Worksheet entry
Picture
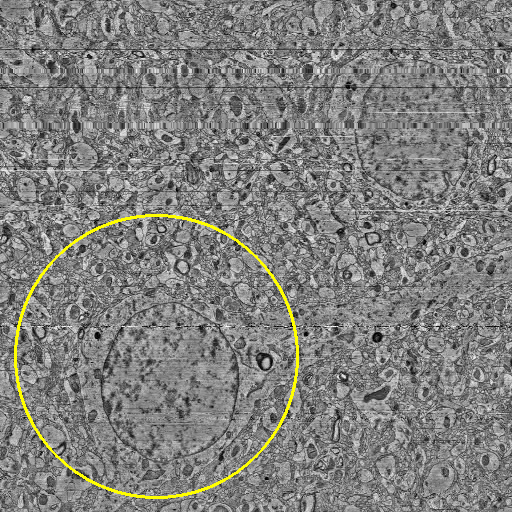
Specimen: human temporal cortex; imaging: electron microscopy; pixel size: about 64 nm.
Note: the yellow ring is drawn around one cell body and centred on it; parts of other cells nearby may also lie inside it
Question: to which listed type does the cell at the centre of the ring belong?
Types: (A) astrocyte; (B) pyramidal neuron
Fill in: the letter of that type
B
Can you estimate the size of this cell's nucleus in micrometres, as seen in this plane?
Roughly 11 by 9 micrometres in this plane, for the nucleus of the ringed cell.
